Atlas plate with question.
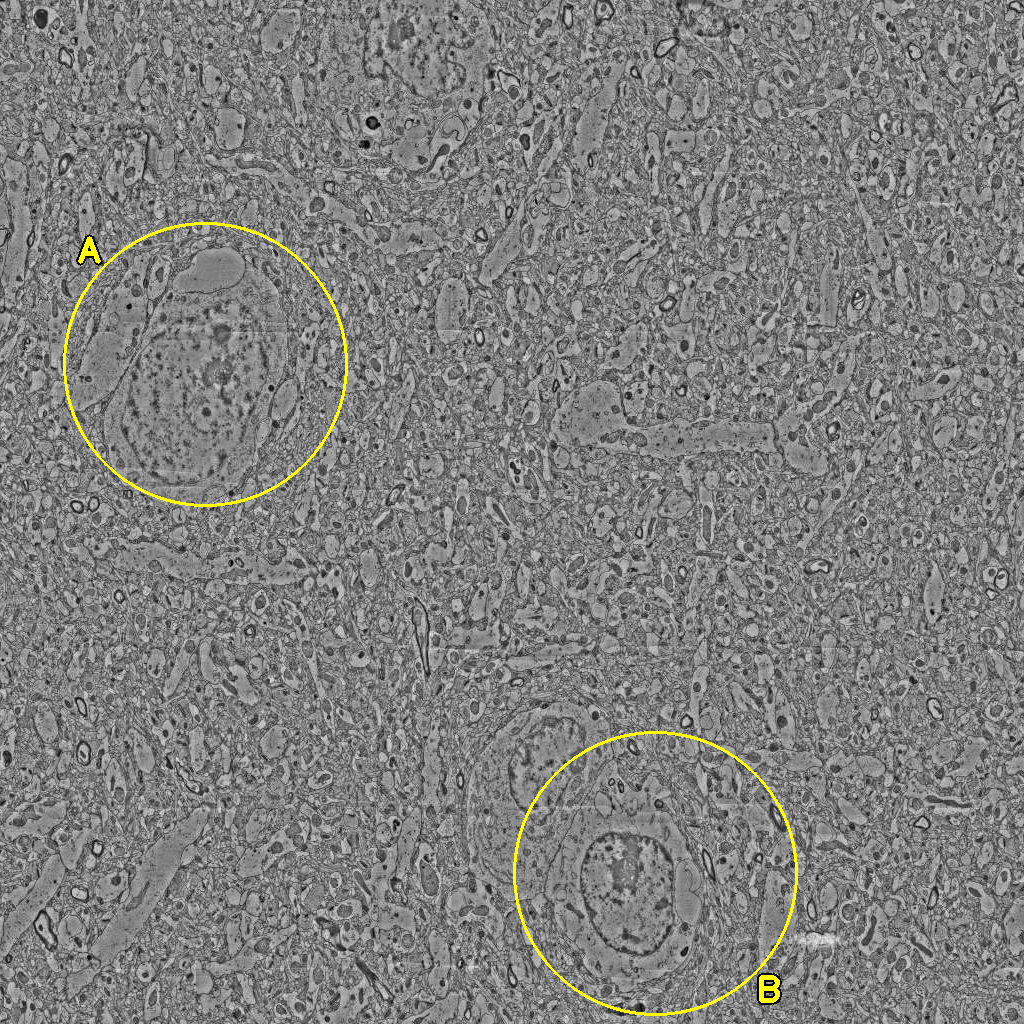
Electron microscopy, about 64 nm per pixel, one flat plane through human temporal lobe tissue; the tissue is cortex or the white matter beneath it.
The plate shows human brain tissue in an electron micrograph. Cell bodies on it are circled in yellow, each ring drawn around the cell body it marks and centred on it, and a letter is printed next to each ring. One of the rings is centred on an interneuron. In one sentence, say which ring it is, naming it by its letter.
It is ring A.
